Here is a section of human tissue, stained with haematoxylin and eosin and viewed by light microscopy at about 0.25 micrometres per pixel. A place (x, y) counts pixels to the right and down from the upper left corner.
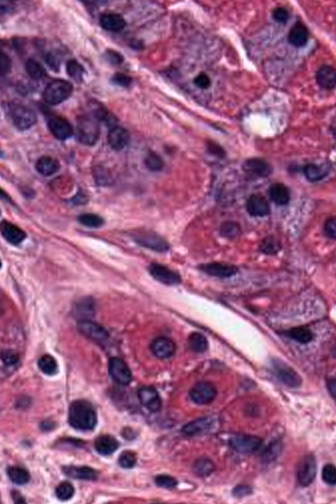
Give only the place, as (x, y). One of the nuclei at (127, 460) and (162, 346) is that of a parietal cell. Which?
(162, 346)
